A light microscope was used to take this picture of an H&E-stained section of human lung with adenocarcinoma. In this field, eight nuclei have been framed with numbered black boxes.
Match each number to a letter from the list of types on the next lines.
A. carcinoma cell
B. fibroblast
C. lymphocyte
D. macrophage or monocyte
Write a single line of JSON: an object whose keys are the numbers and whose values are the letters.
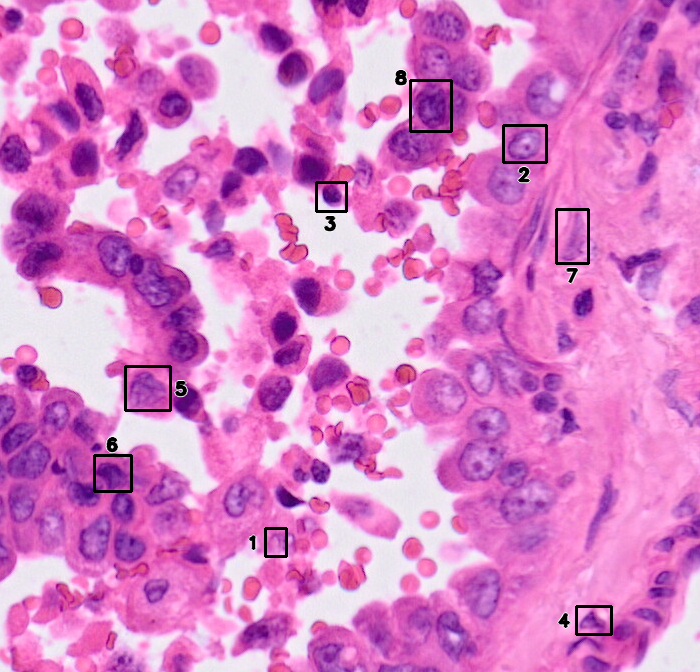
{"1": "D", "2": "A", "3": "C", "4": "B", "5": "A", "6": "A", "7": "B", "8": "A"}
